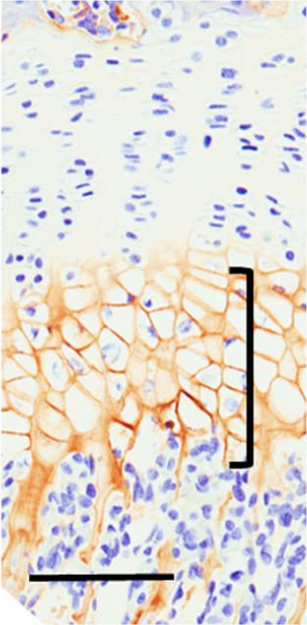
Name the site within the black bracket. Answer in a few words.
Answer: hypertrophic region of the growth plate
